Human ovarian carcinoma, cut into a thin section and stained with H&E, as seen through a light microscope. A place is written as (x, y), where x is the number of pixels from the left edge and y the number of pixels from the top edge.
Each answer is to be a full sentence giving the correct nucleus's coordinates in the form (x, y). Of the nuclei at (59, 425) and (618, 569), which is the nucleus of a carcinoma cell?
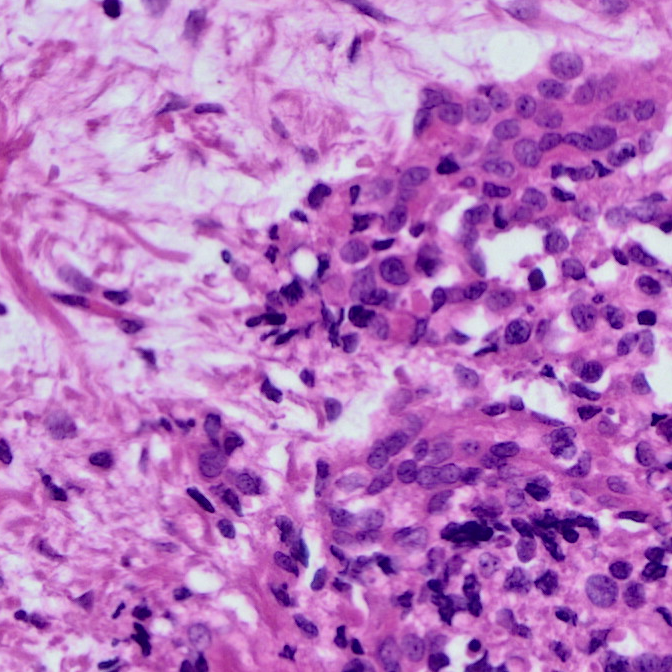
It is the nucleus at (618, 569), not the other one, that belongs to a carcinoma cell.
